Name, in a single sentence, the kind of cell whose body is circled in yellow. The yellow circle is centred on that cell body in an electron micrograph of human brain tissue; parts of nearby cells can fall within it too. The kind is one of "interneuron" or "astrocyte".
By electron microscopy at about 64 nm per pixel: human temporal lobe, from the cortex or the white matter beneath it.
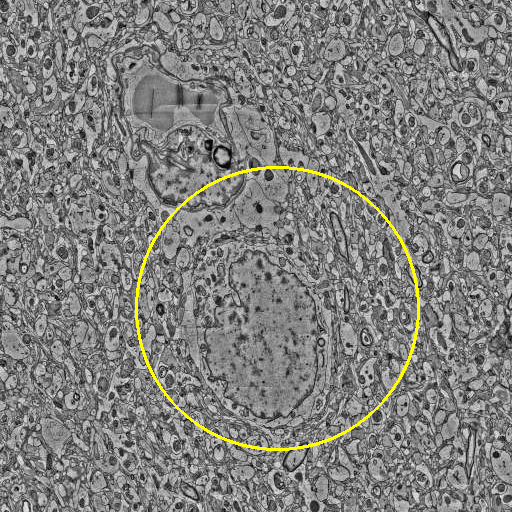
The circled cell body belongs to an interneuron.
